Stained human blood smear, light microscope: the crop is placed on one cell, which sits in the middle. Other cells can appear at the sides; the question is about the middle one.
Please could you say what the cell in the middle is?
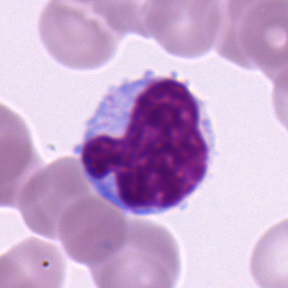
large granular lymphocyte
